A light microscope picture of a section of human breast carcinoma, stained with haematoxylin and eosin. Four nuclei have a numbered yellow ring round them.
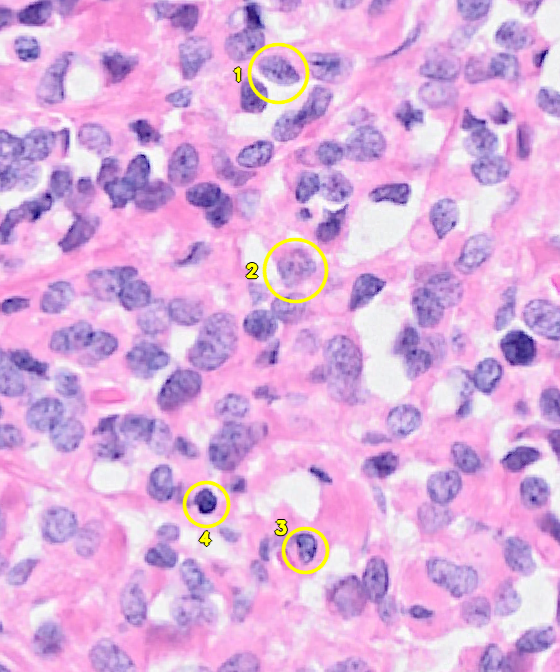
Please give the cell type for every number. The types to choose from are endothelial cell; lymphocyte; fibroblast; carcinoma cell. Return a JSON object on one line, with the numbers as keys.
{"1": "carcinoma cell", "2": "carcinoma cell", "3": "endothelial cell", "4": "lymphocyte"}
